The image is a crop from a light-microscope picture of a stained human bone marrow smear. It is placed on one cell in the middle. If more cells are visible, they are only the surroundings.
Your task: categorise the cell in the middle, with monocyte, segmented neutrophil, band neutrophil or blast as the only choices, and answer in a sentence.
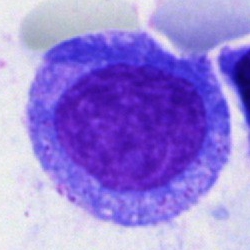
What the crop centres on is a blast.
